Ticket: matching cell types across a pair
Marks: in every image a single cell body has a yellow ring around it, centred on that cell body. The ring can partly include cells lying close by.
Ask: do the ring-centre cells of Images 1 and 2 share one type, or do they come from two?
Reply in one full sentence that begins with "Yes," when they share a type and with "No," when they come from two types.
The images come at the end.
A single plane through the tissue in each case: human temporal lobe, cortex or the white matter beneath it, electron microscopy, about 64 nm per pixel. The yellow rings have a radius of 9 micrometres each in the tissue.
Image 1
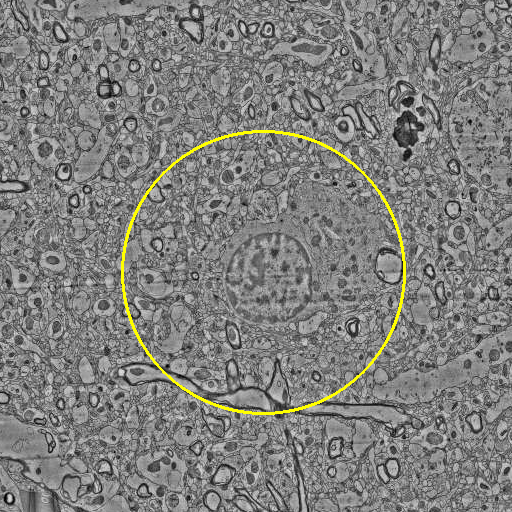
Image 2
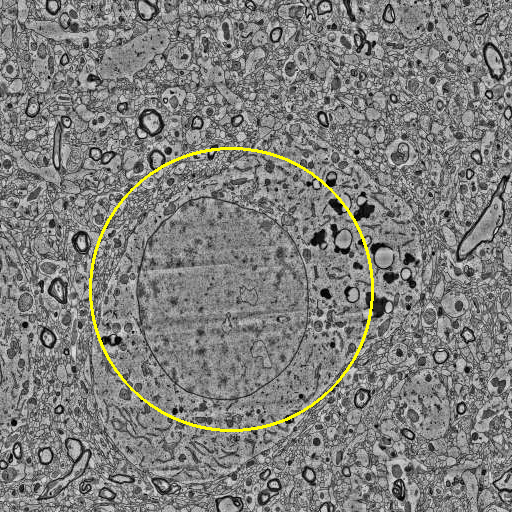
No, the cells in the centres of the rings in Image 1 and Image 2 come from two types.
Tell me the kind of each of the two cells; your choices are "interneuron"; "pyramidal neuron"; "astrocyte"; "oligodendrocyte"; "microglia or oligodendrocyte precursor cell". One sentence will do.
The ringed cell is an oligodendrocyte in the first picture and a pyramidal neuron in the second picture.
